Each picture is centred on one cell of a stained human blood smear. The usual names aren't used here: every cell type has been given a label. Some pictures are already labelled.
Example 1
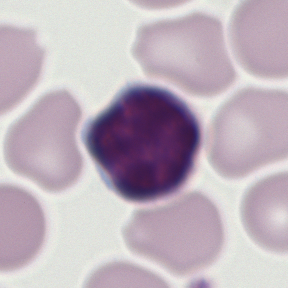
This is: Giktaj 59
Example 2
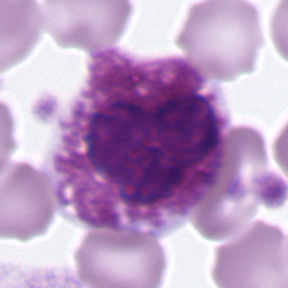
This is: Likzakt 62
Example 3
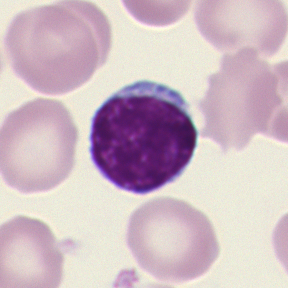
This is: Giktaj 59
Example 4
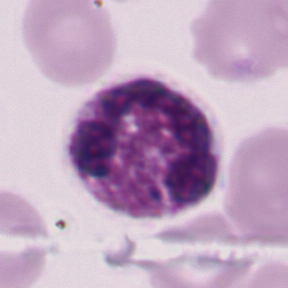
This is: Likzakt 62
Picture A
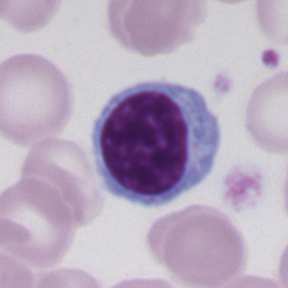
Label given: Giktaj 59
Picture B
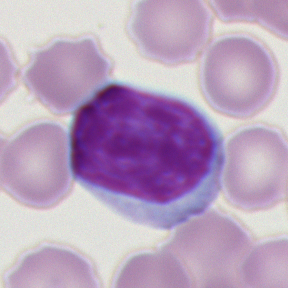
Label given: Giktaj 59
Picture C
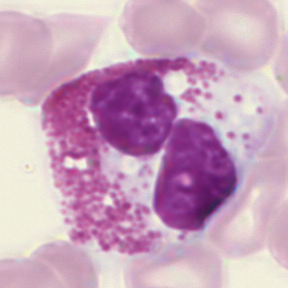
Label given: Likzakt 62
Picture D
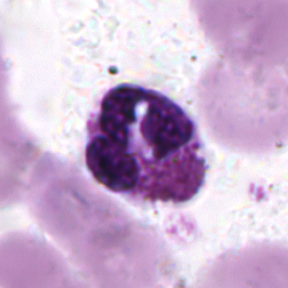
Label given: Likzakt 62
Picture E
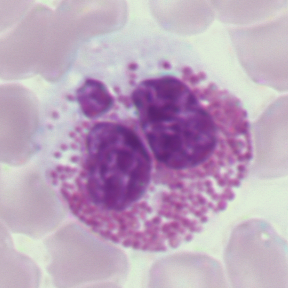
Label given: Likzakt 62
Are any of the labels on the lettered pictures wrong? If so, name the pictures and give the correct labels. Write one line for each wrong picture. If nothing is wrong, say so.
All labels are correct.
